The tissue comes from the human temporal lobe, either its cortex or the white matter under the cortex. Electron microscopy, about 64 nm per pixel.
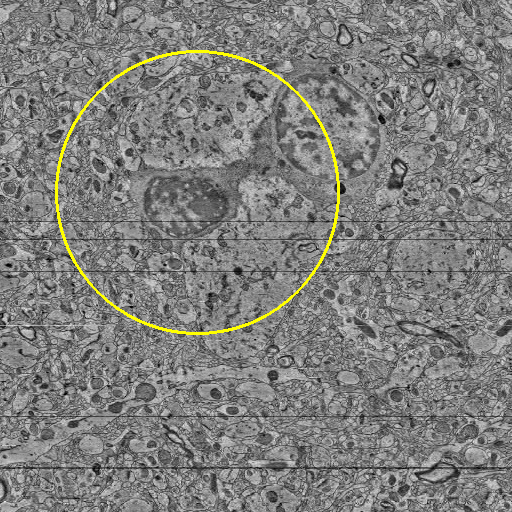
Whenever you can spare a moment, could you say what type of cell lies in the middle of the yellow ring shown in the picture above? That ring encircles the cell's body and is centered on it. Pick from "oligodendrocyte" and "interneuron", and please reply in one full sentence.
The cell whose body sits at the middle of the yellow ring is an oligodendrocyte.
